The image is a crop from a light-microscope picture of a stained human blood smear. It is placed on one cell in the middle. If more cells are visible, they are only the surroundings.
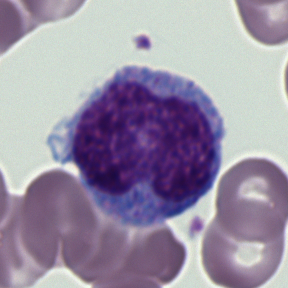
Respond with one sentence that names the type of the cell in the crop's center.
The centrally located cell in the crop is a monocyte.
